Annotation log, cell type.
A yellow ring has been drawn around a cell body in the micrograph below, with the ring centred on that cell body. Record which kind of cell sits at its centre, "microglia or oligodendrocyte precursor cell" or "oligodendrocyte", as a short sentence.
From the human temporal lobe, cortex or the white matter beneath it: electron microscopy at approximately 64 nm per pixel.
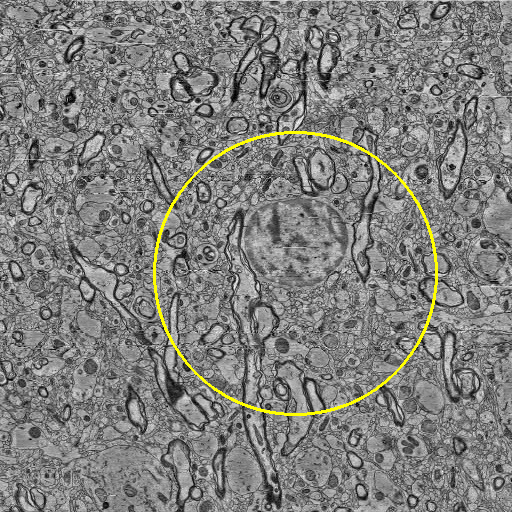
The cell at the centre of this ring is an oligodendrocyte.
